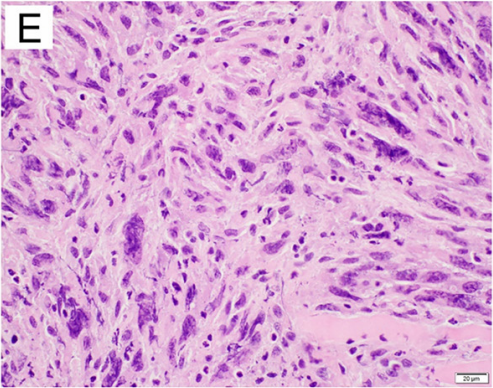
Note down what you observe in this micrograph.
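This high-power view shows a malignant spindle cell tumor made of densely packed elongated tumor cells with marked atypia. The cells run in short bundles of differing direction, separated by pale pink strands of collagen-like stroma. Nuclei are strikingly variable: many are elongated and spindle-shaped, while others are large, irregular, and deeply purple, with coarse chromatin. A few cells carry very large, bizarre nuclei much bigger than their neighbours. The cytoplasm is pale pink and ill-defined, with indistinct cell borders. A band of dense pink stroma crosses the lower right, and no normal tissue architecture is preserved.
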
